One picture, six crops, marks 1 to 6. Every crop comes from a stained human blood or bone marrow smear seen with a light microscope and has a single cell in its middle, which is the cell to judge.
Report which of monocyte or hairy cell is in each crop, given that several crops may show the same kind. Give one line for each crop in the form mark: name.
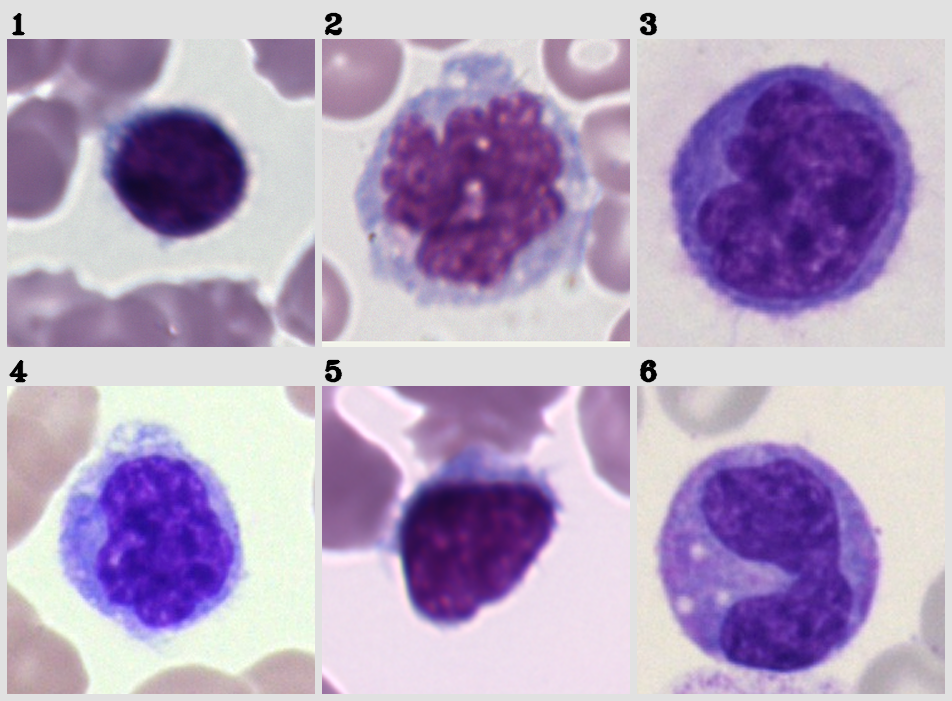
1: hairy cell
2: monocyte
3: monocyte
4: monocyte
5: hairy cell
6: monocyte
